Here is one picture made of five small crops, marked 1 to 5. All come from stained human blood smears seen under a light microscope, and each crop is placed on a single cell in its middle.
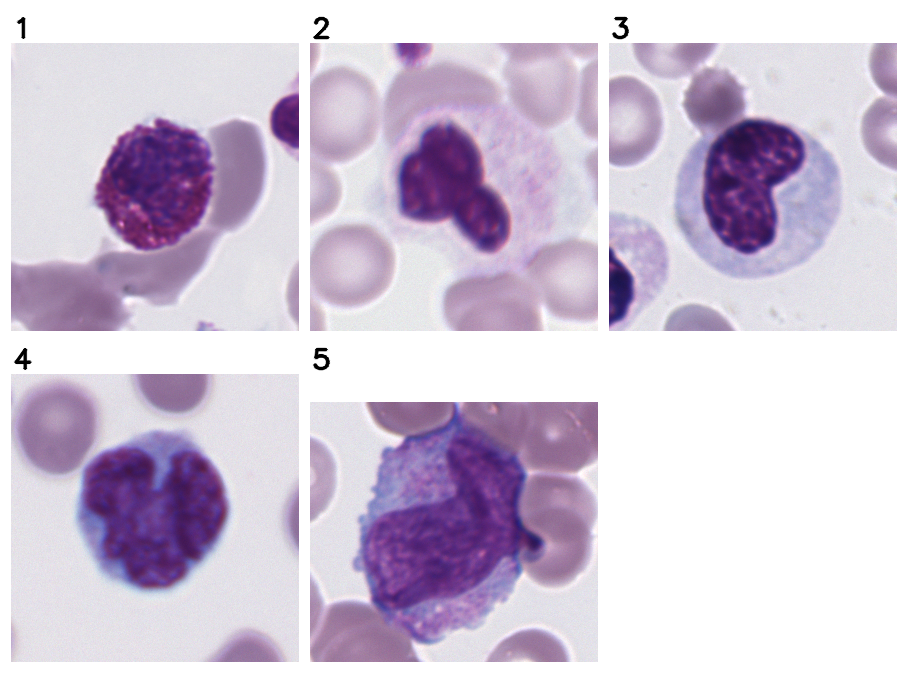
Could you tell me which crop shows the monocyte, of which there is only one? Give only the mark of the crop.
4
